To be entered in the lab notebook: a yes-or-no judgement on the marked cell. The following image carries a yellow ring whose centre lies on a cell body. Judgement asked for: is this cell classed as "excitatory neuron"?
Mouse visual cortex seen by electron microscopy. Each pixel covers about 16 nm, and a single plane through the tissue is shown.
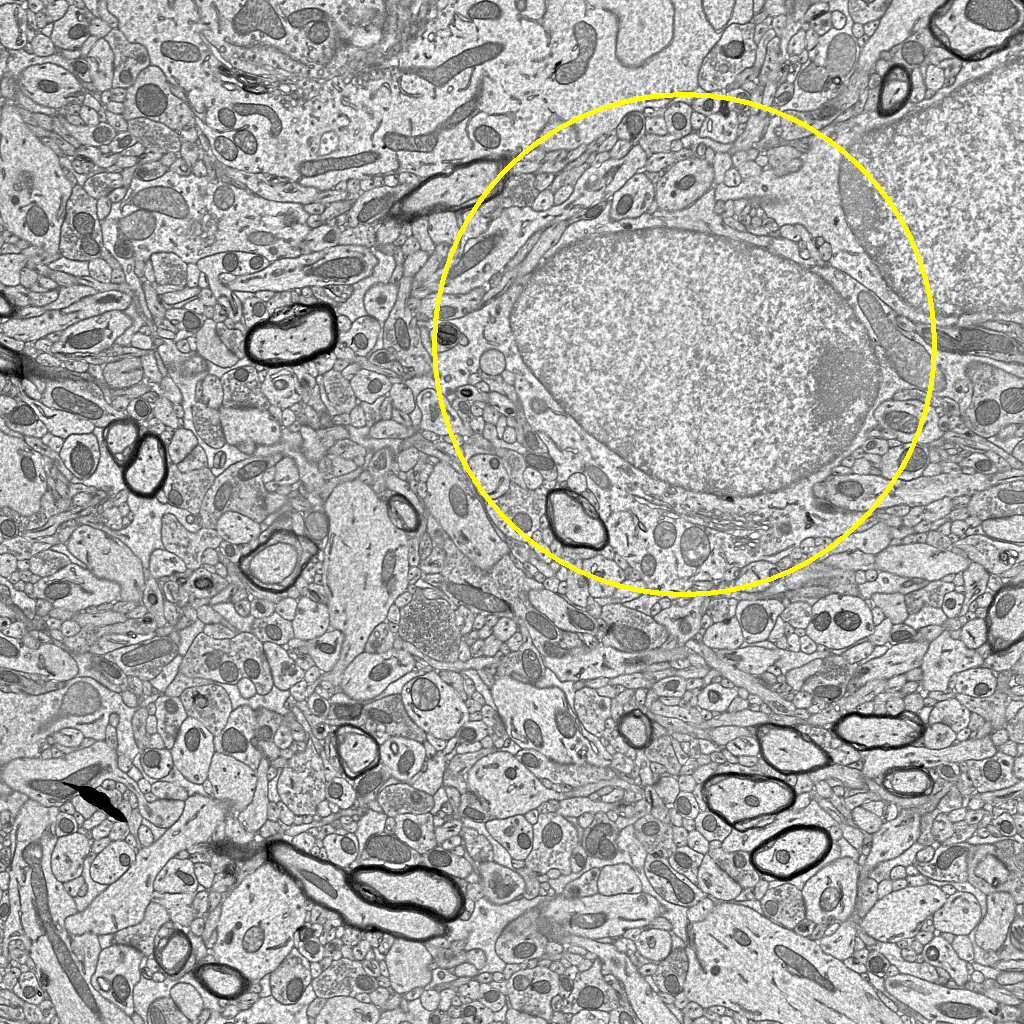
No, it falls in another class.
